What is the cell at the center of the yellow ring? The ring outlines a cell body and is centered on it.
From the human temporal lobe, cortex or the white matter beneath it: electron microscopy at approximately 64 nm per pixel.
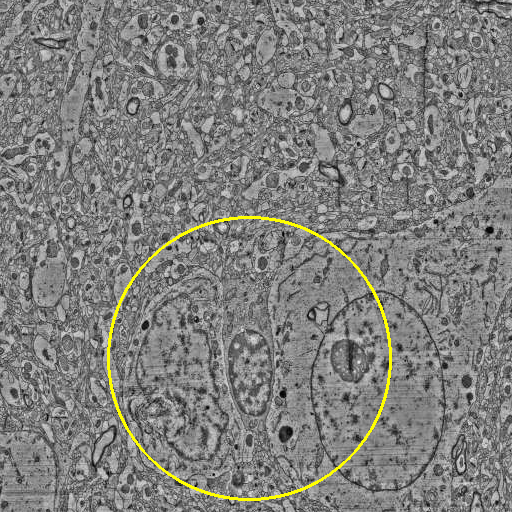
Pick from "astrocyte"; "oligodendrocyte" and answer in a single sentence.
The yellow ring is centered on an oligodendrocyte.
